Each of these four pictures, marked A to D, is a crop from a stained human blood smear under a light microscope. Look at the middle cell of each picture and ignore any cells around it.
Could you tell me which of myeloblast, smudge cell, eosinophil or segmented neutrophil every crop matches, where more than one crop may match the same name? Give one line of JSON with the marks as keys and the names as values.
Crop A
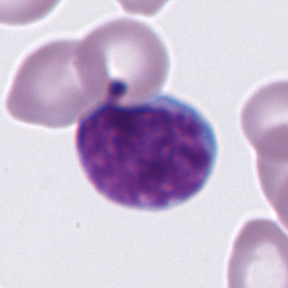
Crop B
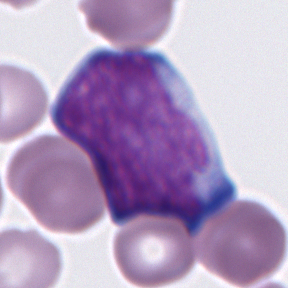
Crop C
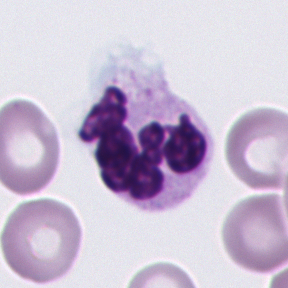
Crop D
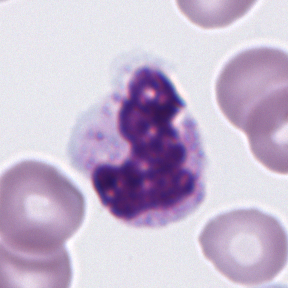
{"A": "myeloblast", "B": "myeloblast", "C": "segmented neutrophil", "D": "segmented neutrophil"}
